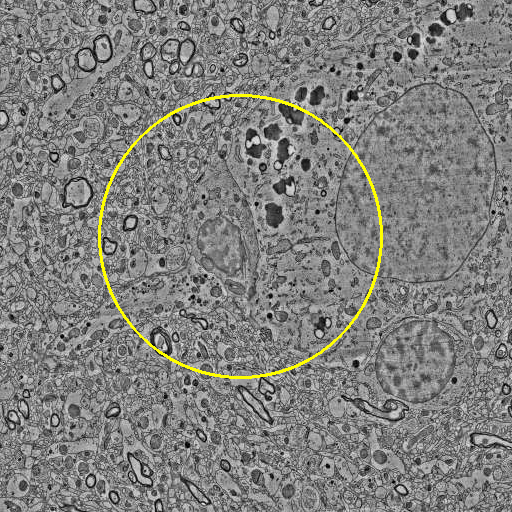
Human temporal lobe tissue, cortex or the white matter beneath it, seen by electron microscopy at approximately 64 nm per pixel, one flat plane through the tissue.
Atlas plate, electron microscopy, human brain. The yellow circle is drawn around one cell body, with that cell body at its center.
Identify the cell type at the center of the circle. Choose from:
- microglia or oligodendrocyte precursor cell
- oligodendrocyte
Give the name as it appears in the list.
oligodendrocyte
